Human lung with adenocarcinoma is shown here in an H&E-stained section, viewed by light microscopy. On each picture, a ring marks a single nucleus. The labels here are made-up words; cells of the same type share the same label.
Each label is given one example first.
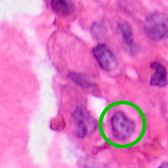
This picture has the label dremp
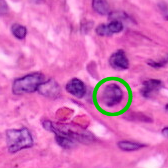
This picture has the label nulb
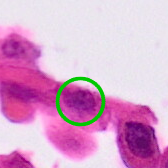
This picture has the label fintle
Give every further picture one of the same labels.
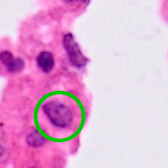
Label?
dremp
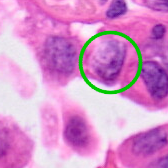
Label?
fintle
